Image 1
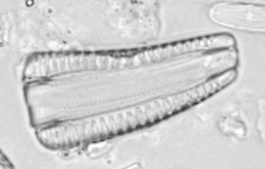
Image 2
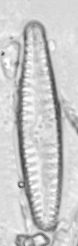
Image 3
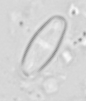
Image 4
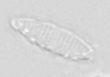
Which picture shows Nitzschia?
Picture 4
